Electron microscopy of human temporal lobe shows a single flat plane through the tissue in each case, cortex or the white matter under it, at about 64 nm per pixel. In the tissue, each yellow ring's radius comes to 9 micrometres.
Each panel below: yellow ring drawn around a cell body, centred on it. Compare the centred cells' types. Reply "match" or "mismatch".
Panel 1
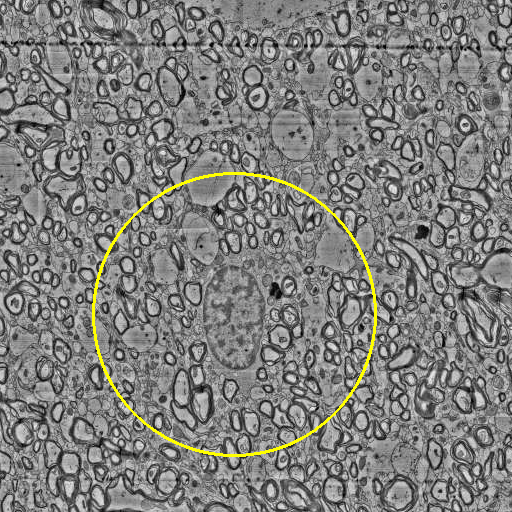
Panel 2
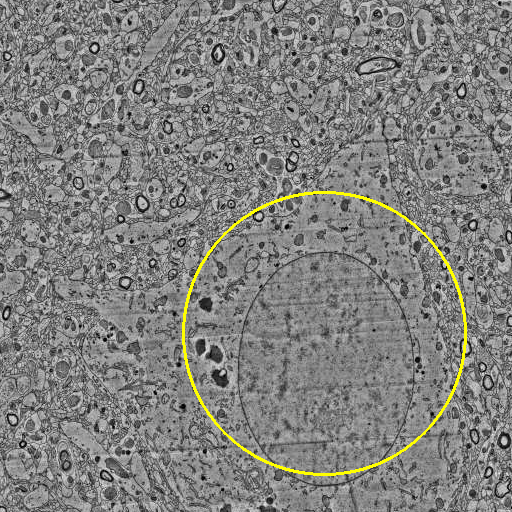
mismatch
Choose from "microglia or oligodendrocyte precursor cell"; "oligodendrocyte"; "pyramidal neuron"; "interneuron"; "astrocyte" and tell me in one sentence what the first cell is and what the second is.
What the first ring is centred on is an oligodendrocyte; what the second ring is centred on is a pyramidal neuron.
